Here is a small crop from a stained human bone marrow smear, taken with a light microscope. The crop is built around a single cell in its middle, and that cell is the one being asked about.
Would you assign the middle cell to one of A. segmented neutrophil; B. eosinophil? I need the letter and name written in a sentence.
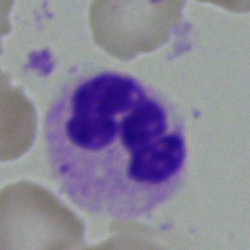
The central cell, a segmented neutrophil, is correctly identified by option A.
